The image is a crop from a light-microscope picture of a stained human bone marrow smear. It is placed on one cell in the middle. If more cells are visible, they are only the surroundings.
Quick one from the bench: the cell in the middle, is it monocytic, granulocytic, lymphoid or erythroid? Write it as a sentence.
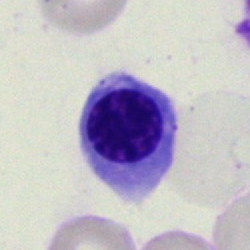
With respect to lineage, the middle cell falls within the erythroid lineage.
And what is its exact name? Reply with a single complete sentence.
The target cell in the middle of the crop is an erythroblast.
